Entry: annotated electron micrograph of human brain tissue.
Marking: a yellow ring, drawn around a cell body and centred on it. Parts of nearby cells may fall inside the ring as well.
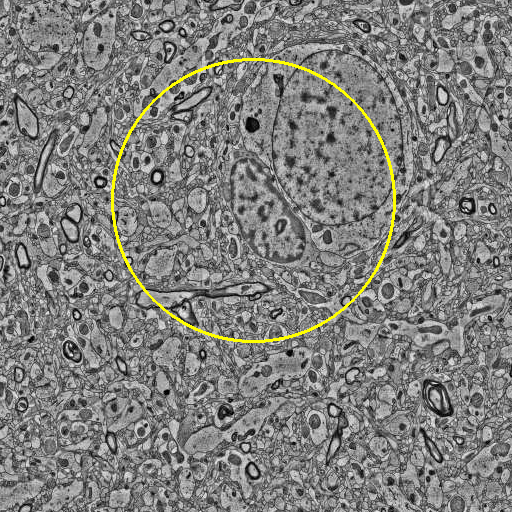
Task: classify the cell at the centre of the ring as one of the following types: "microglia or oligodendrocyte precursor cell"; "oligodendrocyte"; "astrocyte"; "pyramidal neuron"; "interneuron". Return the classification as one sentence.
The marked cell is classified as an oligodendrocyte.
